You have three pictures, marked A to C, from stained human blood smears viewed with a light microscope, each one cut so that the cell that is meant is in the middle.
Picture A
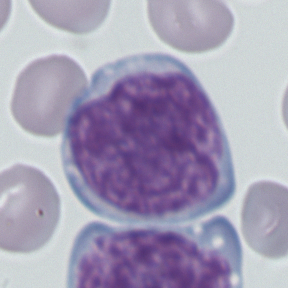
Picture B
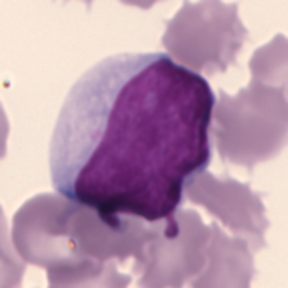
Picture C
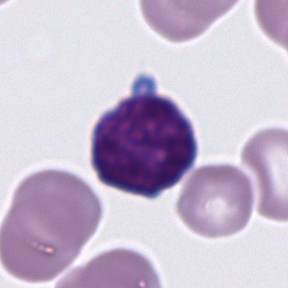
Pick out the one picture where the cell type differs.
C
